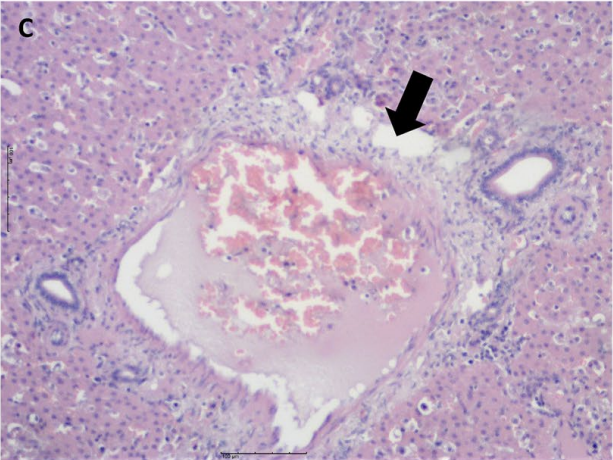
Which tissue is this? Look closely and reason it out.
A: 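Sheets of polygonal cells with round central nuclei. A portal area with a large vessel and small ducts lined by cuboidal cells. The answer: Liver.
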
